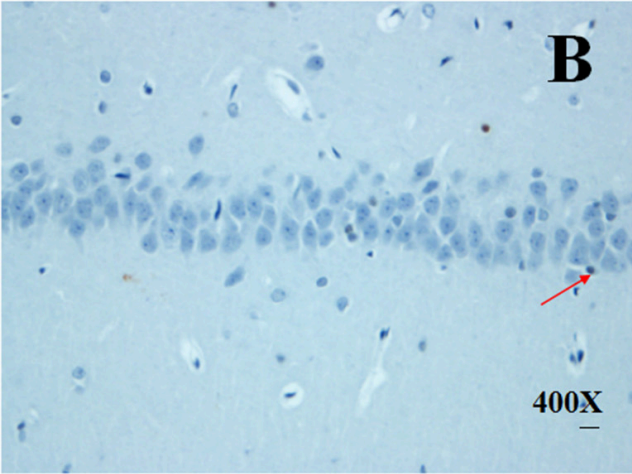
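This is the pyramidal cell layer of the hippocampus, a horizontal band several cells thick of large, closely packed neuronal cell bodies. The neurons are rounded to slightly triangular, with pale blue cytoplasm and round pale nuclei, many showing a distinct dark nucleolus. Brown nuclei are almost absent. Above and below the band lies pale neuropil with scattered small dark blue glial nuclei and a few vessel profiles. A red arrow points to a small dark cell at the lower edge of the band.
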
